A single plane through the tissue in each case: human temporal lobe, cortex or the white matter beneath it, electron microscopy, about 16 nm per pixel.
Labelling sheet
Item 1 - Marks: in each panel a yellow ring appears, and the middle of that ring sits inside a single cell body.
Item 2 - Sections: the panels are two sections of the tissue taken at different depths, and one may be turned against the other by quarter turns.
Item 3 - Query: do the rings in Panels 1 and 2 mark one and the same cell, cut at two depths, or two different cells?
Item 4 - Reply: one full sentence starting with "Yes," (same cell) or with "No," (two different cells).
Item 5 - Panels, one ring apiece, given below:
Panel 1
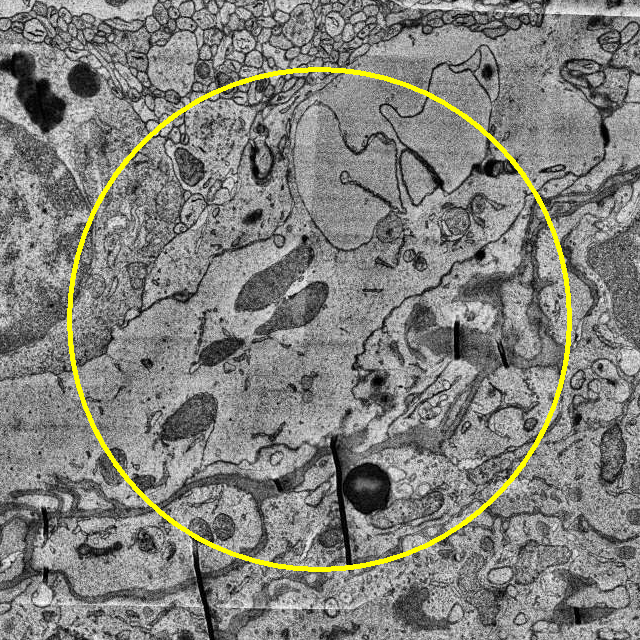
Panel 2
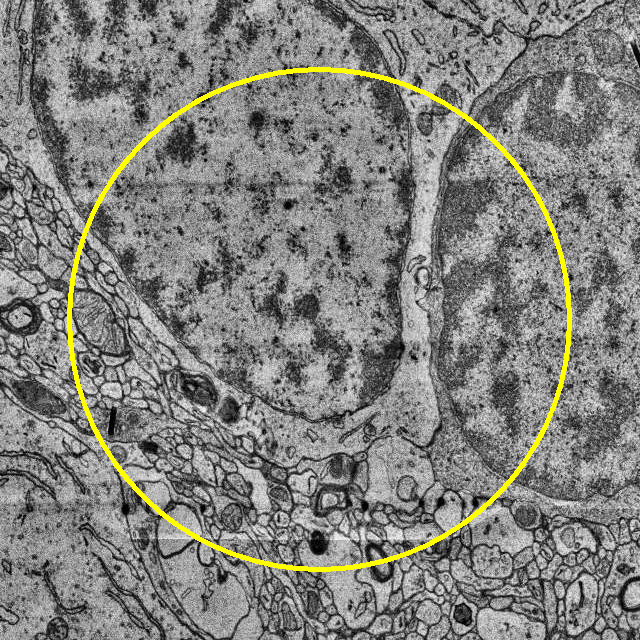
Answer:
No, the two rings enclose two cells that are not the same.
